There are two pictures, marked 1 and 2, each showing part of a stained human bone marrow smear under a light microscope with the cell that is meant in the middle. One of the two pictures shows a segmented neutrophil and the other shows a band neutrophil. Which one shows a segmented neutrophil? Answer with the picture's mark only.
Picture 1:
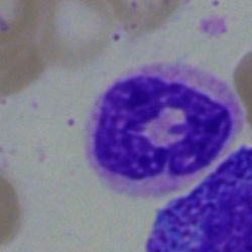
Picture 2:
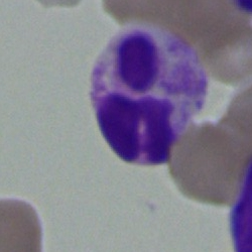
2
